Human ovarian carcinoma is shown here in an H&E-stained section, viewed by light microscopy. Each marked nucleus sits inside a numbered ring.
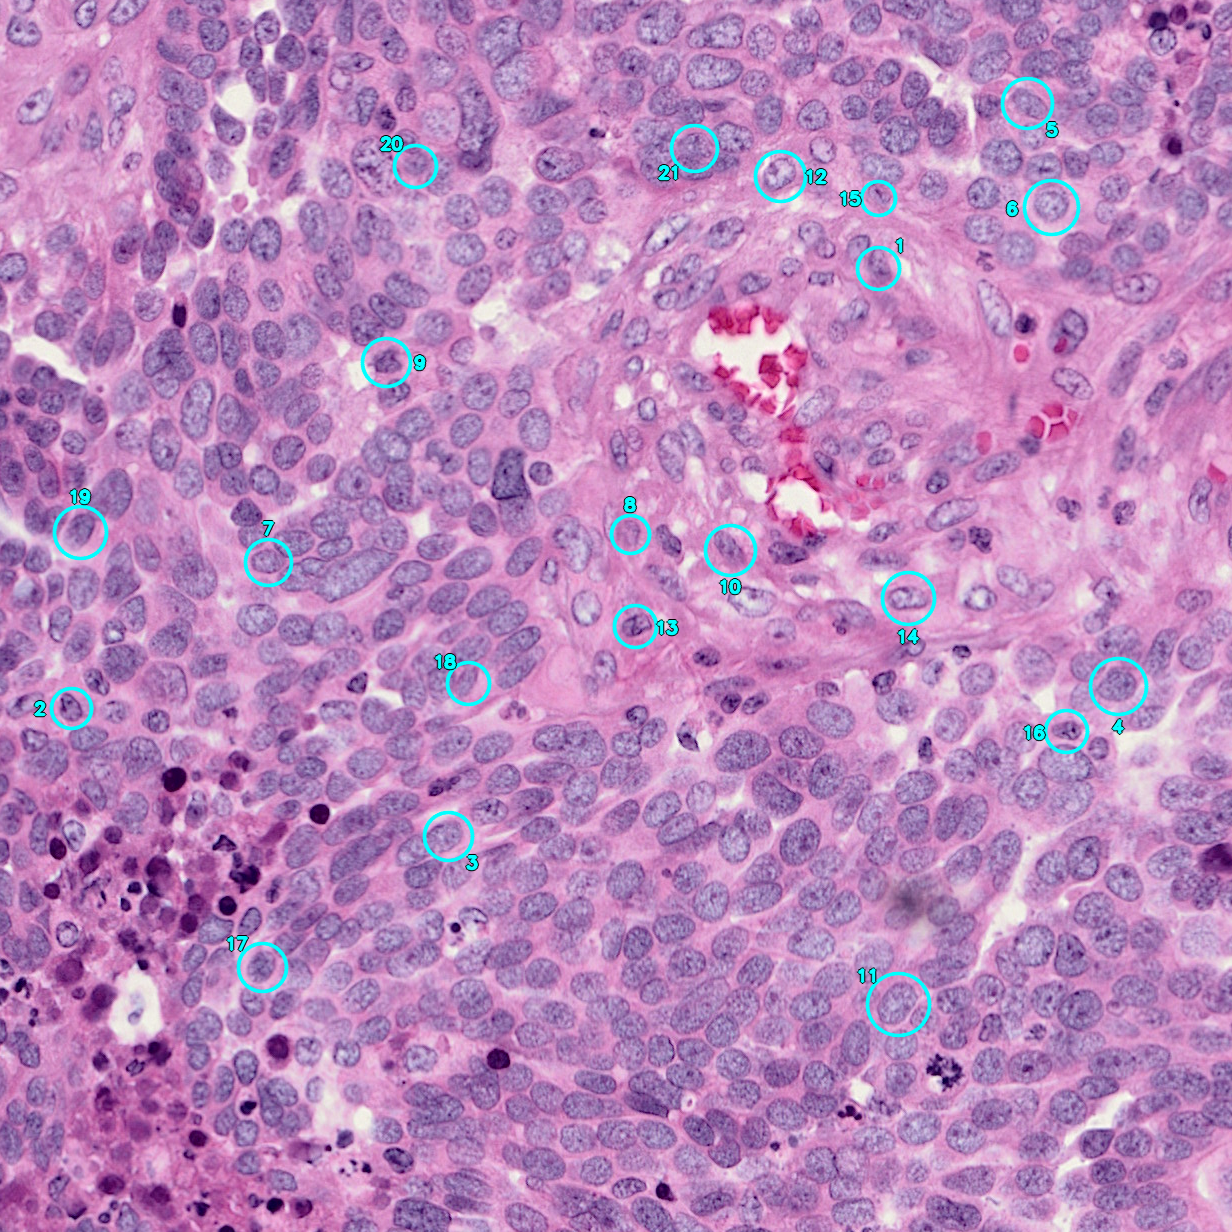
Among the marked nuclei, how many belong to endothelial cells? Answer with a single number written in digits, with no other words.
0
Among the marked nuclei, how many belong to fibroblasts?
6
